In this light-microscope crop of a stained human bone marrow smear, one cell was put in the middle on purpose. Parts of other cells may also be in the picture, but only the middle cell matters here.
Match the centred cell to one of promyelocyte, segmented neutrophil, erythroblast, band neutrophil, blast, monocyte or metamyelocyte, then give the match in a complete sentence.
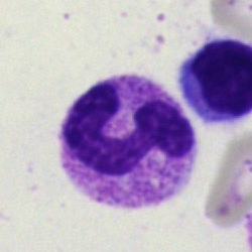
The cell of interest, located centrally, is a segmented neutrophil.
